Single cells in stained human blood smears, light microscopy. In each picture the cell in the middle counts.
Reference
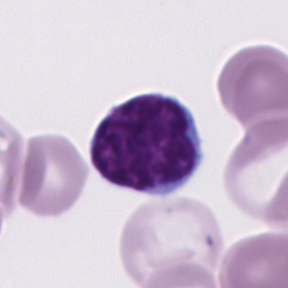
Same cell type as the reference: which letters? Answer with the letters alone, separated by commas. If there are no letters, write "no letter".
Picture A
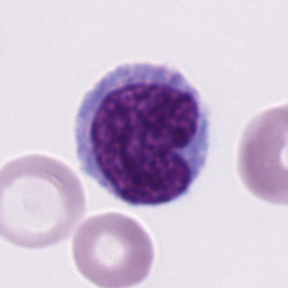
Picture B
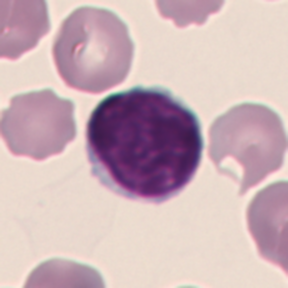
B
